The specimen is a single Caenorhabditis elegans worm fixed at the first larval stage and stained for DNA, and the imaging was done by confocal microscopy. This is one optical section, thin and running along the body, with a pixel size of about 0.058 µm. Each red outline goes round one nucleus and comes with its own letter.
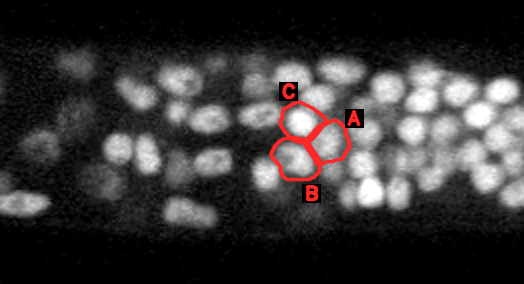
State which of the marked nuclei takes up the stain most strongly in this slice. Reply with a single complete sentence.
C is stained most strongly in this section.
